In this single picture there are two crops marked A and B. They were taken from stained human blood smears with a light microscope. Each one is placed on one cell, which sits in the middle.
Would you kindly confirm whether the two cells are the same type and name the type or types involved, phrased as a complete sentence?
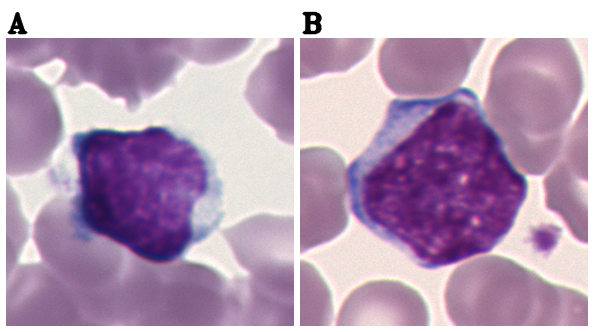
Yes, the two crops show typical lymphocytes, both of them.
